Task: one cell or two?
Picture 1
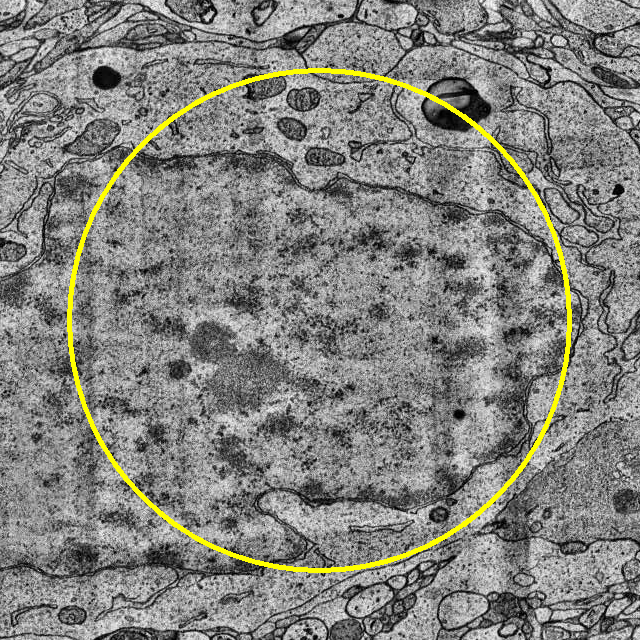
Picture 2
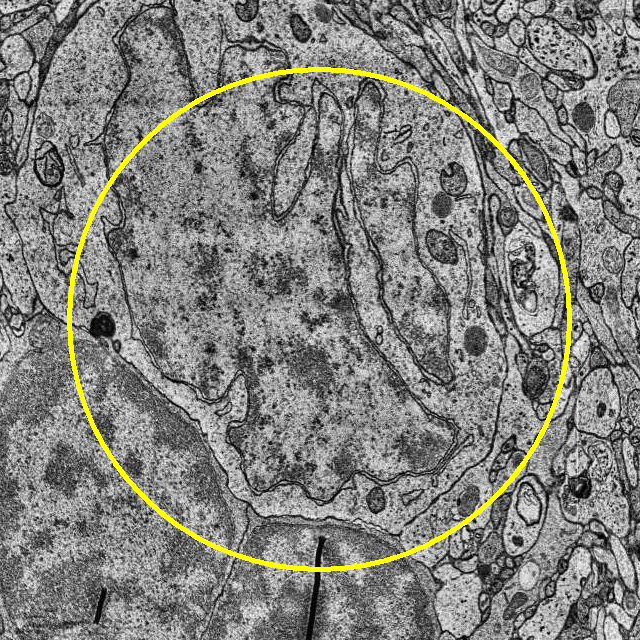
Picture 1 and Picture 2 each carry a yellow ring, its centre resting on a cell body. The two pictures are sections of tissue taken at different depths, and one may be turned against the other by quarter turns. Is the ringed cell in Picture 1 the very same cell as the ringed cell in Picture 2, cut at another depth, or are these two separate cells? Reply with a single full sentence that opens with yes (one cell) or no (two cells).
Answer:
Yes, a single cell lies behind both yellow marks.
